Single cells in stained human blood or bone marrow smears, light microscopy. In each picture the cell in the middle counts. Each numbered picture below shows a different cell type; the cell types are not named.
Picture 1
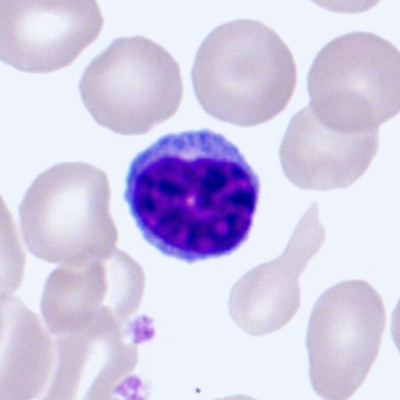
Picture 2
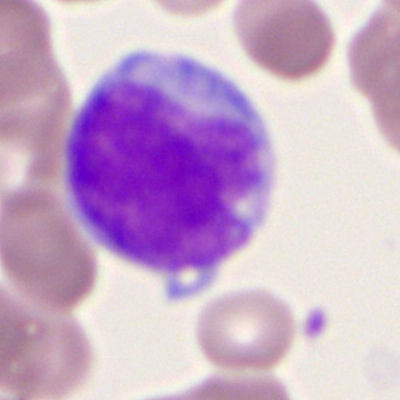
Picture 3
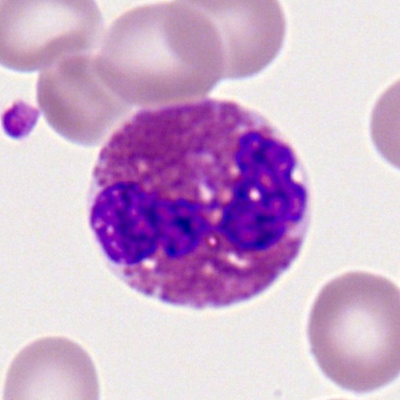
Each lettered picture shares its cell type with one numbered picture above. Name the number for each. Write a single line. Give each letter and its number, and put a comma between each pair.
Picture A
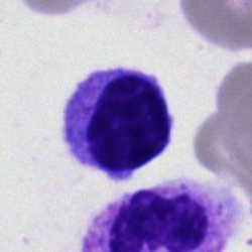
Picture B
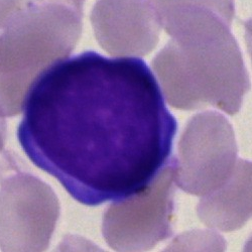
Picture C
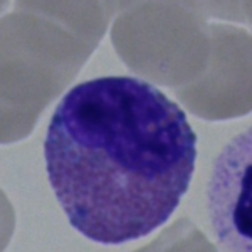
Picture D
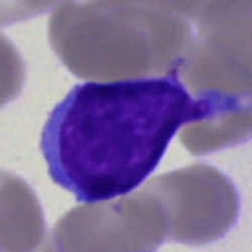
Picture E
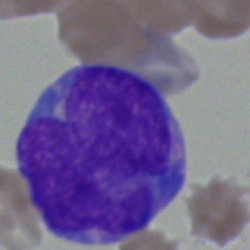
A 1, B 2, C 3, D 1, E 2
